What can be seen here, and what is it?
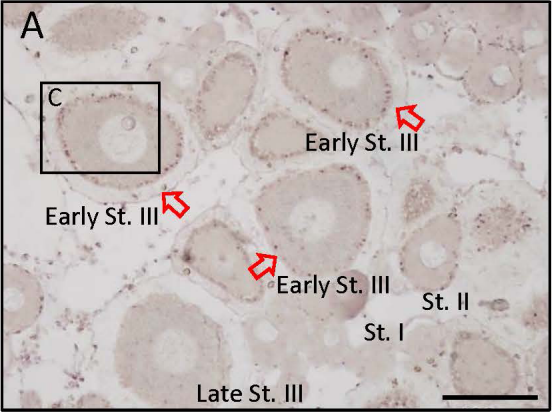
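A section of ovary shows follicles of different sizes, each consisting of a rounded oocyte with a pale central nucleus, surrounded by a thin cell layer and separated by loose tissue. The smallest oocytes are compact, while the larger ones have granular cytoplasm. In several mid-sized follicles a ring of dark brownish dots lines the oocyte periphery, whereas the largest follicles show little such staining.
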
